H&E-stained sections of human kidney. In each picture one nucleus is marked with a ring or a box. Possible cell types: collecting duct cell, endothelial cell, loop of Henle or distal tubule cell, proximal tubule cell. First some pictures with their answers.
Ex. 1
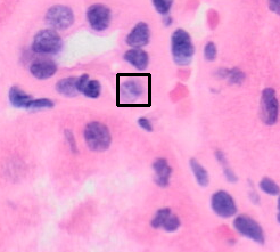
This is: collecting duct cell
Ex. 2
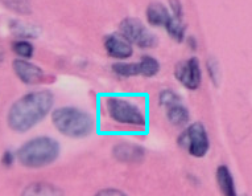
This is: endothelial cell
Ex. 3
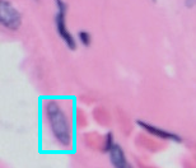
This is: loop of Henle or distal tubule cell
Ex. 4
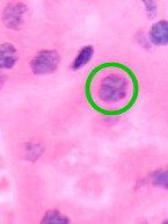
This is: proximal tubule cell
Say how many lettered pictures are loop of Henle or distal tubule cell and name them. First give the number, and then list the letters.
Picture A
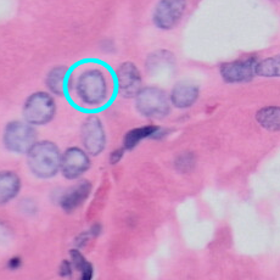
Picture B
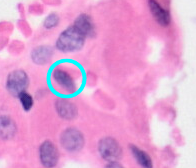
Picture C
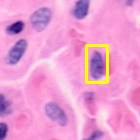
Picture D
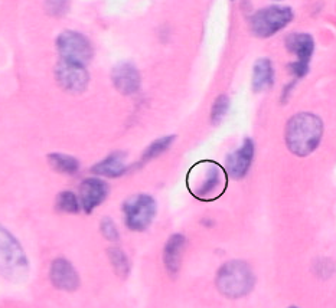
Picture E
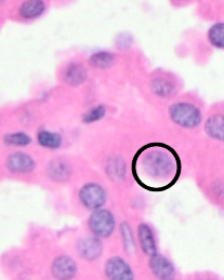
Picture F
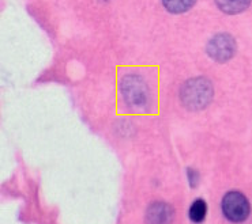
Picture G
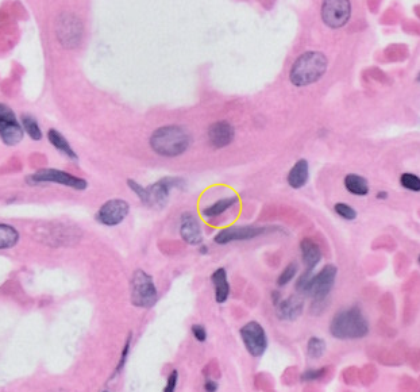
1: E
